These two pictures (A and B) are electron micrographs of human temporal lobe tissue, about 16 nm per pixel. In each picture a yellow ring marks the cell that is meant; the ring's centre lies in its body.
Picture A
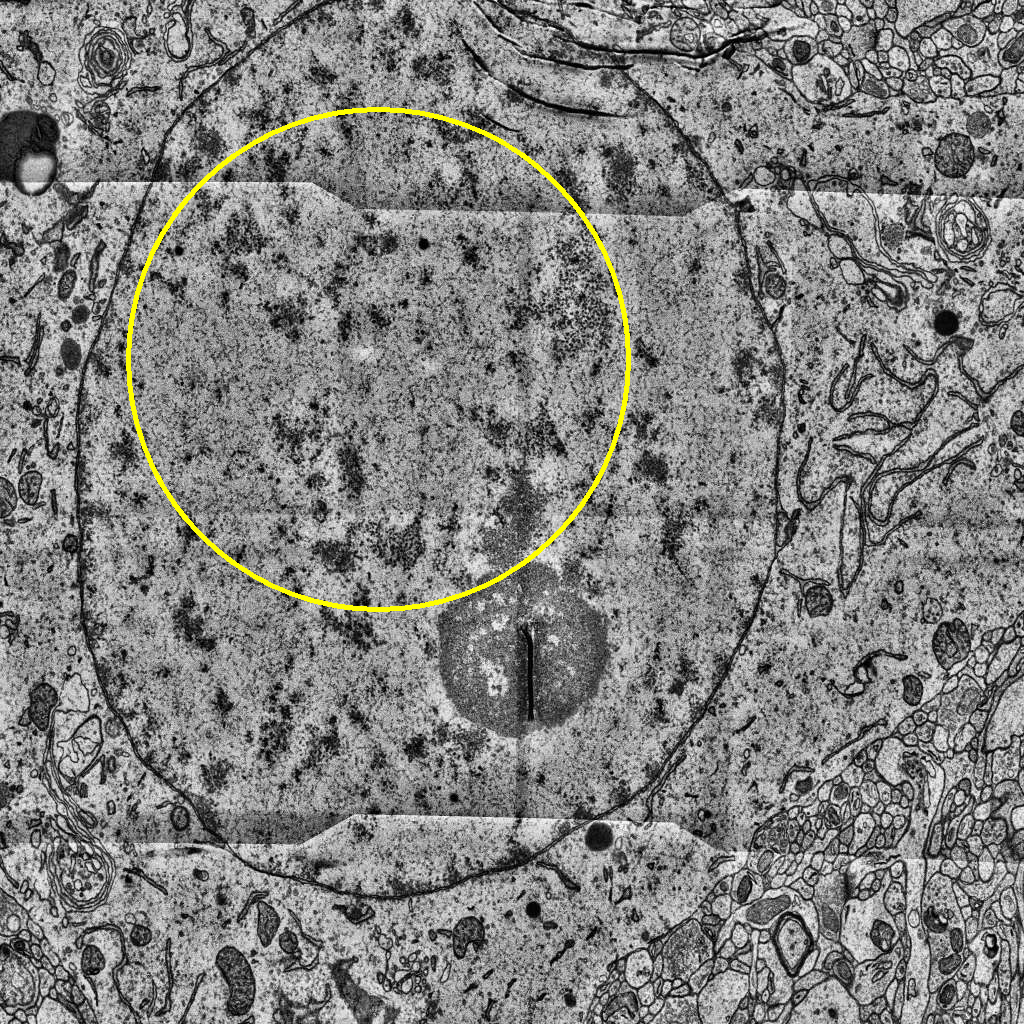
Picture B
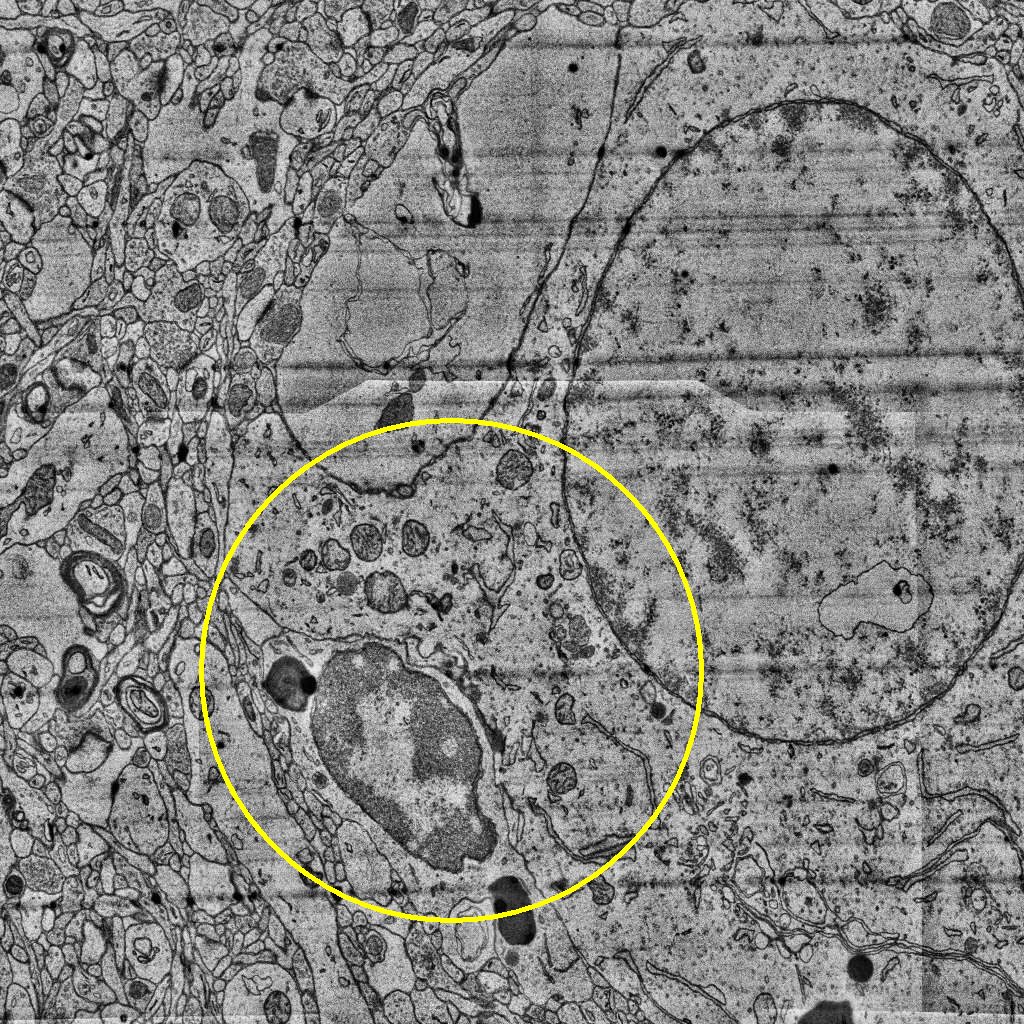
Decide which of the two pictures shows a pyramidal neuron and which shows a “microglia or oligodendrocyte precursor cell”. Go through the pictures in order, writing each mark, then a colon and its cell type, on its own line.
A: pyramidal neuron
B: microglia or oligodendrocyte precursor cell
